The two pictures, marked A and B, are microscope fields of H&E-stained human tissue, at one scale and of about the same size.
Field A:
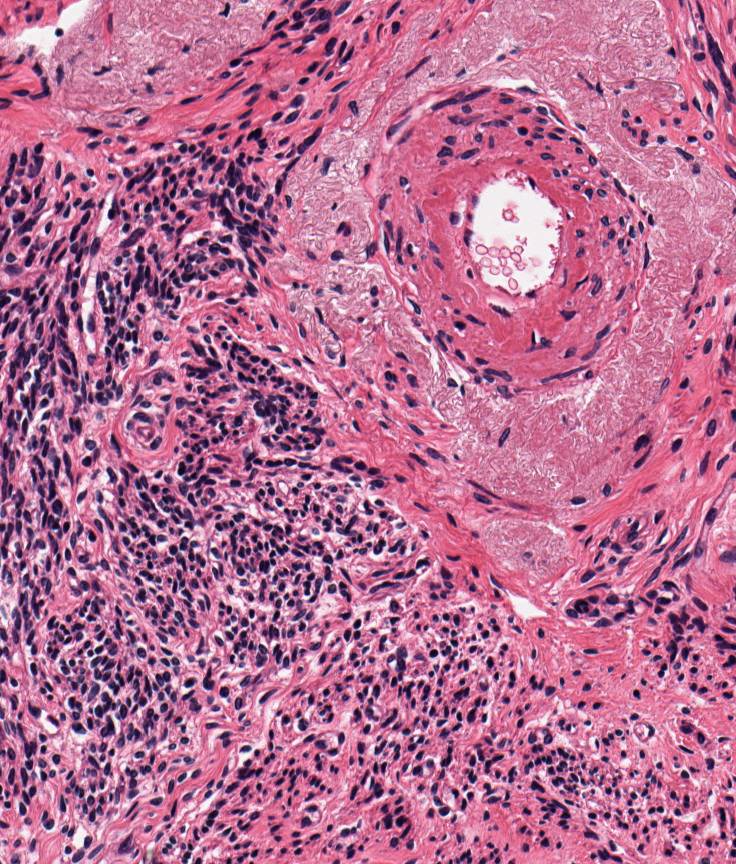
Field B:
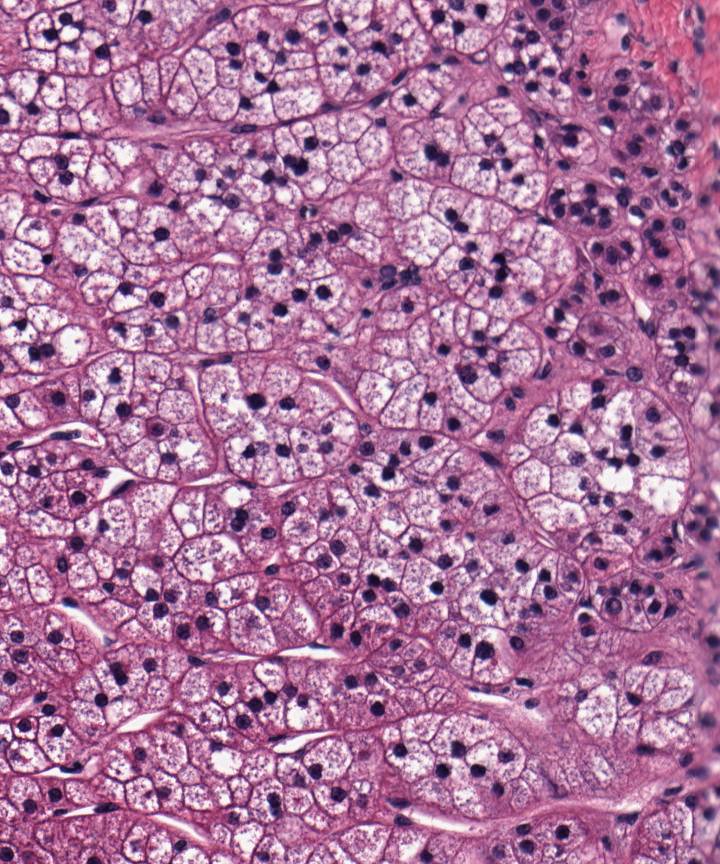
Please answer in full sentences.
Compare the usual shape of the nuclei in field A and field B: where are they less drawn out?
The nuclei are rounder in field B.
